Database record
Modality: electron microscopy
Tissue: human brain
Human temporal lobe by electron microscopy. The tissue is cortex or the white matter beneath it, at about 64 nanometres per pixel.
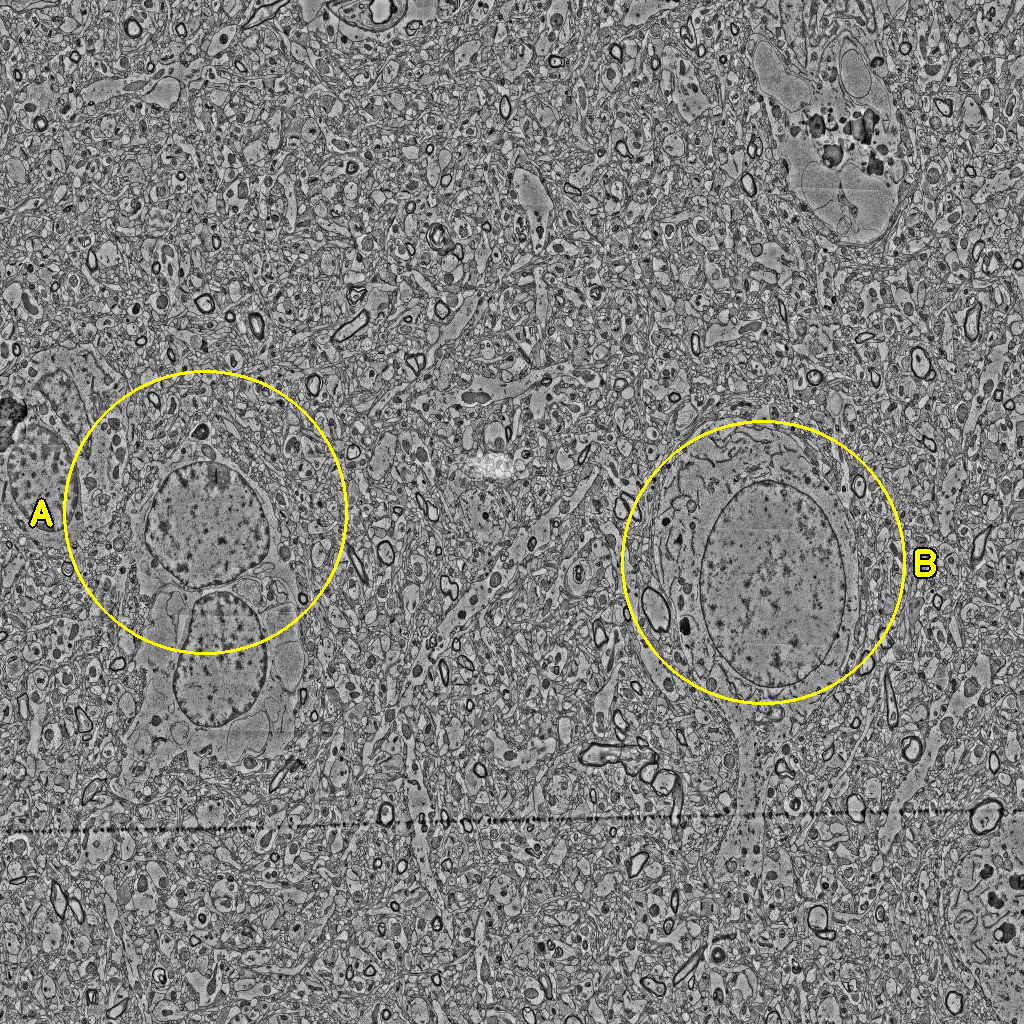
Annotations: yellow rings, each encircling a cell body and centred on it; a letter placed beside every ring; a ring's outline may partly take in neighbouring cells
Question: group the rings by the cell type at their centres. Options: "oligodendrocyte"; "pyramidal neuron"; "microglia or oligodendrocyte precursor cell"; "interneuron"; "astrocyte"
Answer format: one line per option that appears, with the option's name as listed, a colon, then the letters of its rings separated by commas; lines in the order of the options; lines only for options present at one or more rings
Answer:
pyramidal neuron: B
astrocyte: A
